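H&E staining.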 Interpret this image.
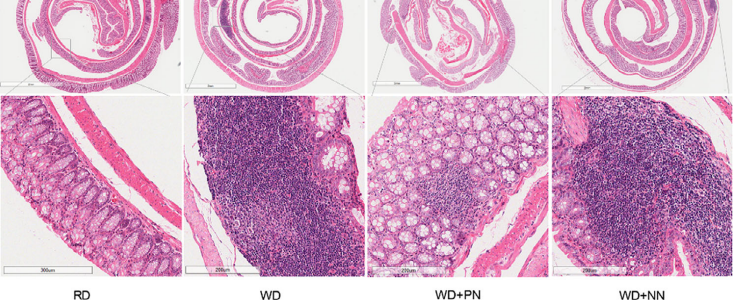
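Here the intestine is rolled into a spiral, so the whole length lies in one section, stained pink for cytoplasm and purple for nuclei. In the enlargements you see the mucosa: in the leftmost, tubular crypts stand in orderly rows, lined by columnar epithelium with pale goblet cells, above a thin band of pink smooth muscle. In the second and fourth enlargements much of the field is taken up by a dense sheet of small, dark, round nuclei packed tightly together, pushing the crypts aside. The third shows many crypts in cross-section with goblet cells, and only a smaller crowded cell patch beneath.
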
